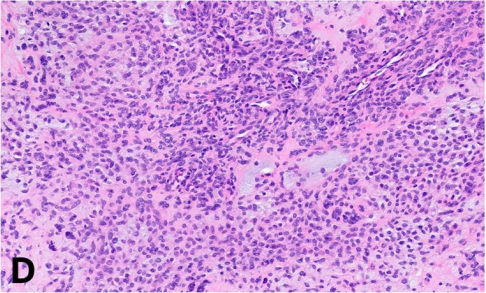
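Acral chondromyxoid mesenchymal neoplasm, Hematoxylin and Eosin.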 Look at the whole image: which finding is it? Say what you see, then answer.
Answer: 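Monotonous morphology. Densely packed cells with uniform ovoid nuclei. Little variation in nuclear size and shape across the field.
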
